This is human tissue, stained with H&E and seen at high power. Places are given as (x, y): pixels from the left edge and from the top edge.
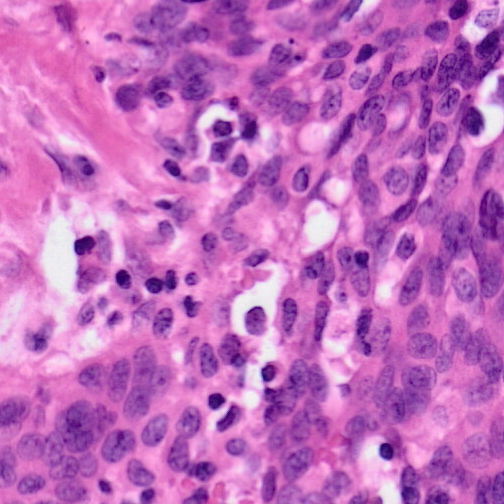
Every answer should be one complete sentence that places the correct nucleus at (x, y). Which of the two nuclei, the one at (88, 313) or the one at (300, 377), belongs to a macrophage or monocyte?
Housed in a macrophage or monocyte is the nucleus at (88, 313), not the other one.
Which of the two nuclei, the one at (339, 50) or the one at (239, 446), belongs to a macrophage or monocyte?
Of the two nuclei, the nucleus of a macrophage or monocyte is at (239, 446).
